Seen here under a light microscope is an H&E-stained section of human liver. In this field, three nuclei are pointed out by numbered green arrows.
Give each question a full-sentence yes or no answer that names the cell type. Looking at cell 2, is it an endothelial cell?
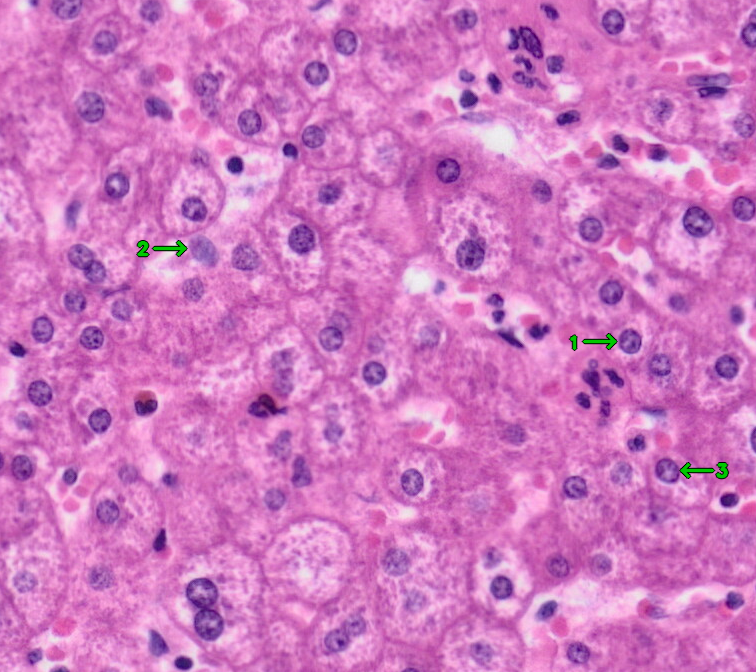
Yes, cell 2 among the marked cells is an endothelial cell.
